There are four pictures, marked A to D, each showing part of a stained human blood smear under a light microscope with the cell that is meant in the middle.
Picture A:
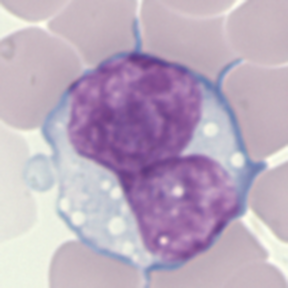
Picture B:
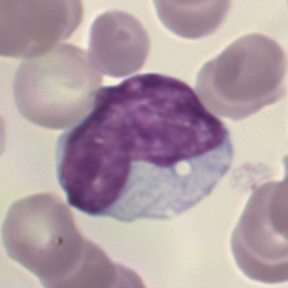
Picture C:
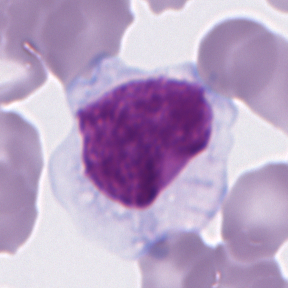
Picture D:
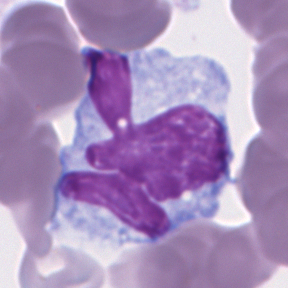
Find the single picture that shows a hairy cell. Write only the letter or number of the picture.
C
